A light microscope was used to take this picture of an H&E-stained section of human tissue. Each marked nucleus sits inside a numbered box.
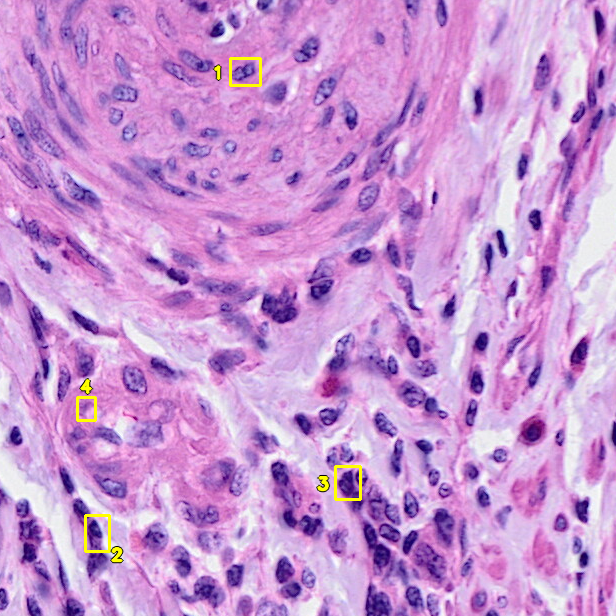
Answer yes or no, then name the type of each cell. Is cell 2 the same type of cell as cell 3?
Yes, cells 2 and 3 have the same identity; both are lymphocytes.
